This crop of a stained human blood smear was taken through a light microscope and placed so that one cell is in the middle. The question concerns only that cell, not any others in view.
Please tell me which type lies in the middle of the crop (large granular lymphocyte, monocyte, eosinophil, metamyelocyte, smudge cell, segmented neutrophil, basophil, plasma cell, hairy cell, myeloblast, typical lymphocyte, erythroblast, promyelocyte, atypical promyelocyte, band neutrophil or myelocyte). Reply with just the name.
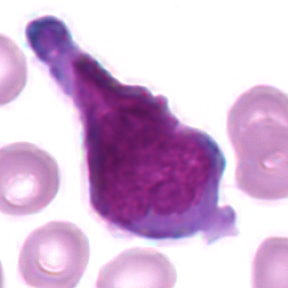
atypical promyelocyte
